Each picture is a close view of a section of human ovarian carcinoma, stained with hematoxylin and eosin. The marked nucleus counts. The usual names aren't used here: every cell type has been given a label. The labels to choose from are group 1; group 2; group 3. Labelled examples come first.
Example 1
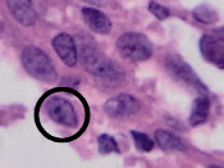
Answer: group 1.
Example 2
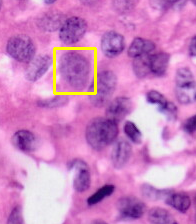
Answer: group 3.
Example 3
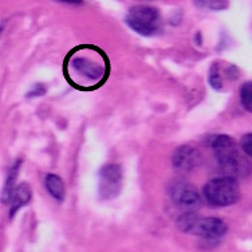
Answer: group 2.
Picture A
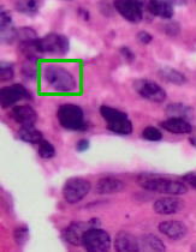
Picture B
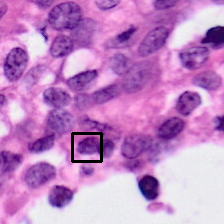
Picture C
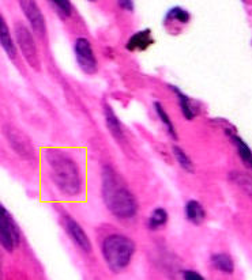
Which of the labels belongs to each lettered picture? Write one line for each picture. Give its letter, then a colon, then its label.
A: group 1.
B: group 3.
C: group 2.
